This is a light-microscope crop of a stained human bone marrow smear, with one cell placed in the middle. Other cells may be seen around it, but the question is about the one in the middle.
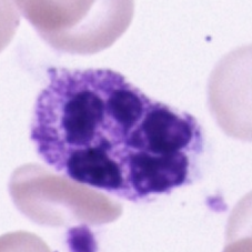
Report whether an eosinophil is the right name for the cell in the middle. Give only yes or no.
no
